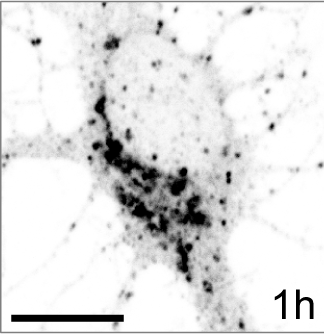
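Neuron with a rounded cell body and several thin, branching processes. Most of the dark label forms a dense, irregular cluster in the cell body. Fine dark puncta are scattered in the rest of the cell body and along the processes.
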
